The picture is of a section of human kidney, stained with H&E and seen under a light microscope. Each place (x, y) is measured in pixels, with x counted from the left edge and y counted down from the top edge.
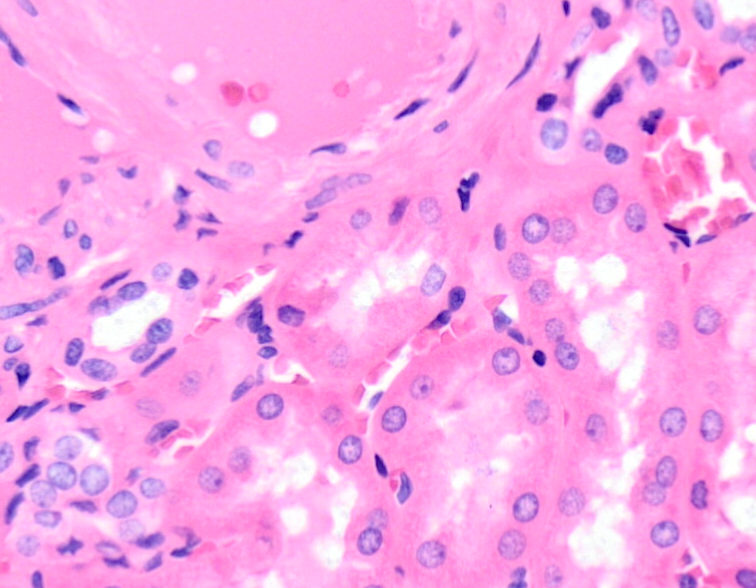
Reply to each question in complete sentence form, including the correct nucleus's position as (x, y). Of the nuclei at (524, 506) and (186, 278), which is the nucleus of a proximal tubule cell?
Answering which nucleus it is: the one at (524, 506), belonging to a proximal tubule cell.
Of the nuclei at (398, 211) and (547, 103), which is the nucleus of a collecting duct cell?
It is the nucleus at (547, 103) that forms part of a collecting duct cell.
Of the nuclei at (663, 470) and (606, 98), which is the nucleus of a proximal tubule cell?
The nucleus at (663, 470), rather than the other one, belongs to a proximal tubule cell.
